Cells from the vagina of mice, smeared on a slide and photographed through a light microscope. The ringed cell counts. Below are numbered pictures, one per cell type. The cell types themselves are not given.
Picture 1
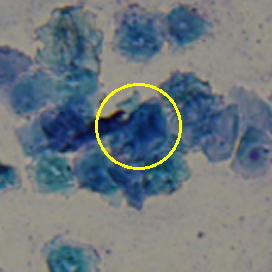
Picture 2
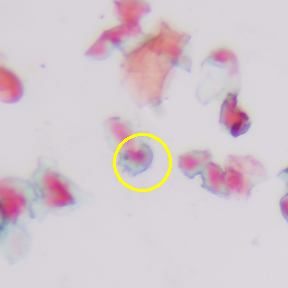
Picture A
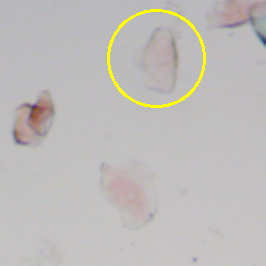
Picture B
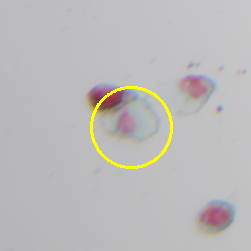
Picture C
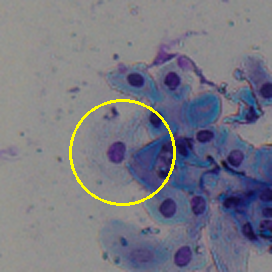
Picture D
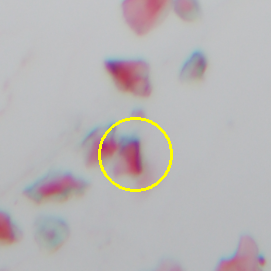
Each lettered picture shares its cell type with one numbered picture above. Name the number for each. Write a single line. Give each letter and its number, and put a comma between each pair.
A 1, B 2, C 2, D 1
